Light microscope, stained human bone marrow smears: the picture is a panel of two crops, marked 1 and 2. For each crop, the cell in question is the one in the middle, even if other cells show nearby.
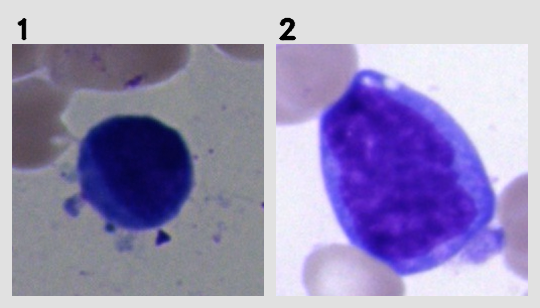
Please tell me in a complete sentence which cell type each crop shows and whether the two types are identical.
No, the cell at the middle of crop 1 is a lymphocyte, while crop 2 centres on a blast.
